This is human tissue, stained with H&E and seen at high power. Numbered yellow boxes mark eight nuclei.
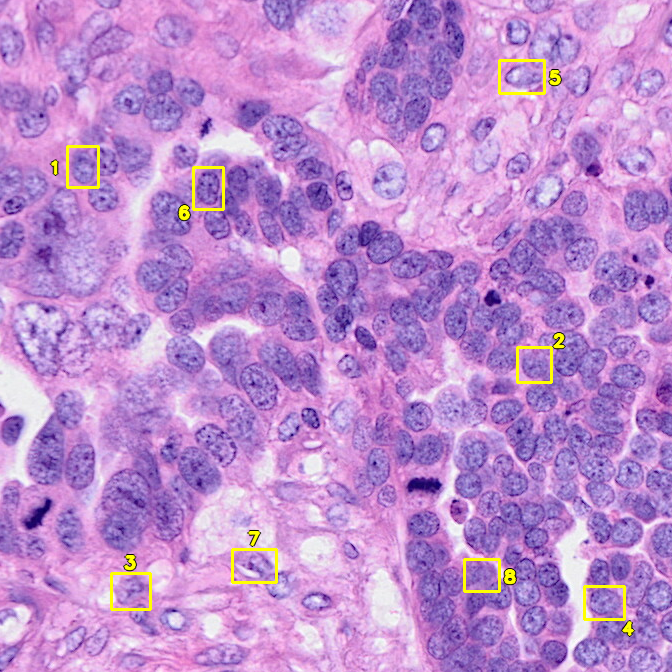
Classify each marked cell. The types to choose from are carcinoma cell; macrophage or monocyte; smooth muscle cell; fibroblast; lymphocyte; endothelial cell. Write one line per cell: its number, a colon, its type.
1: carcinoma cell
2: carcinoma cell
3: fibroblast
4: carcinoma cell
5: fibroblast
6: carcinoma cell
7: fibroblast
8: carcinoma cell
